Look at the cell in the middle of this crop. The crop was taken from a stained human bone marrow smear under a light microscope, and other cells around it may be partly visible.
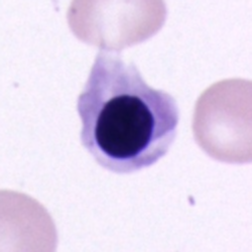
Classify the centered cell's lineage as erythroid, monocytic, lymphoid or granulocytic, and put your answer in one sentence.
The central cell originates in the erythroid lineage.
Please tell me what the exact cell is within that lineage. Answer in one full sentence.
In the middle of this smear crop is an erythroblast.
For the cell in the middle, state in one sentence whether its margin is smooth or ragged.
Because its outline is ragged or drawn out into projections, the cell lacks a smooth border.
